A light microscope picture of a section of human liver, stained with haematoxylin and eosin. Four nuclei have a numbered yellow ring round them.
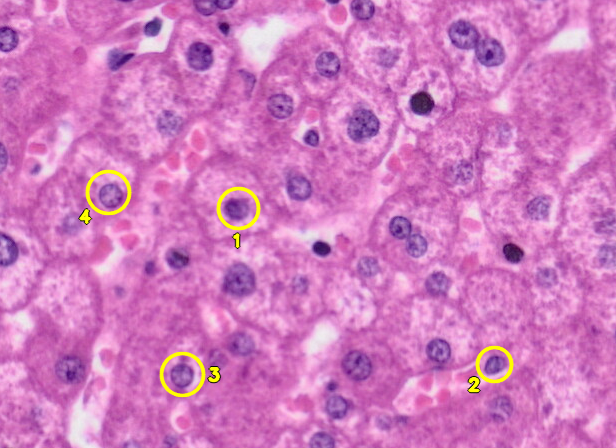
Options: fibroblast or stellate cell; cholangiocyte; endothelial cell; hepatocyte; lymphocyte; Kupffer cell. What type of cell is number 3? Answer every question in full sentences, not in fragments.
The mark numbered 3 indicates the nucleus of a hepatocyte.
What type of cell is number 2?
Identified as a Kupffer cell is the cell bearing the number 2.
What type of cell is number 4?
Cell 4 should be recorded as a hepatocyte.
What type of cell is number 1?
Cell 1 in the field is a hepatocyte.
